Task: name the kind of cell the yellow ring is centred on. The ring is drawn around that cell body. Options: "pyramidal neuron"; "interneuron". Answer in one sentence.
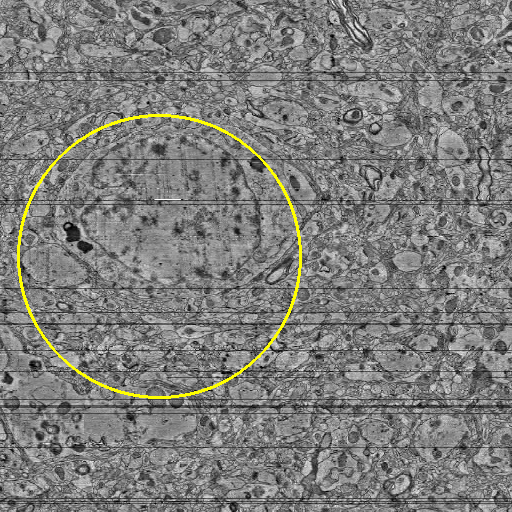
This cell body belongs to an interneuron.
